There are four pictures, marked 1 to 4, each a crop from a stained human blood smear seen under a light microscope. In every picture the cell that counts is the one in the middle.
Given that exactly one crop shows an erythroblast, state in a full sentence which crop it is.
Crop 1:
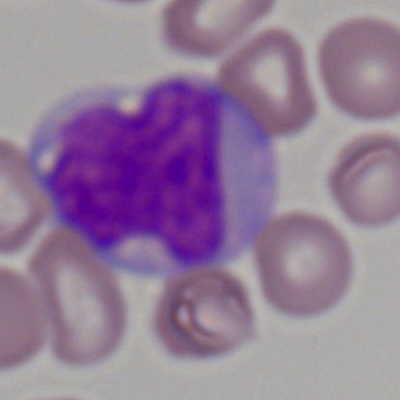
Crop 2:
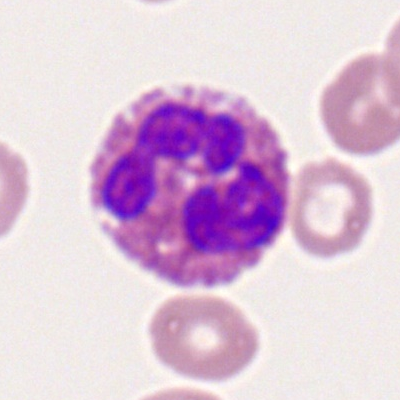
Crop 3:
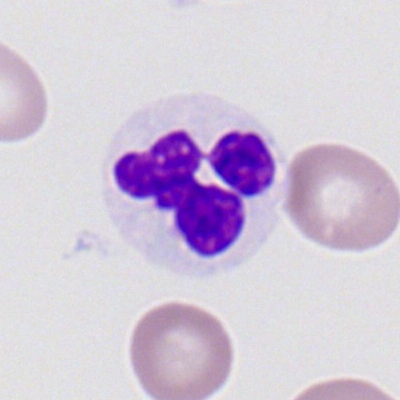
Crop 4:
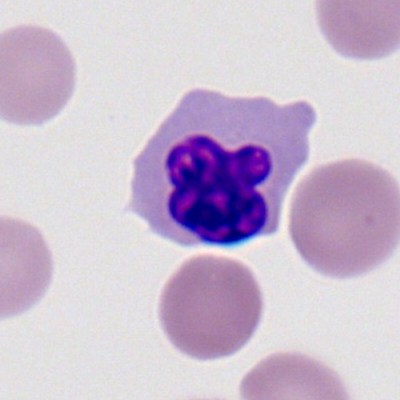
Crop 4 is identified as the crop showing an erythroblast.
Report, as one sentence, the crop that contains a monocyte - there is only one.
The crop in which a monocyte is shown is crop 1.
